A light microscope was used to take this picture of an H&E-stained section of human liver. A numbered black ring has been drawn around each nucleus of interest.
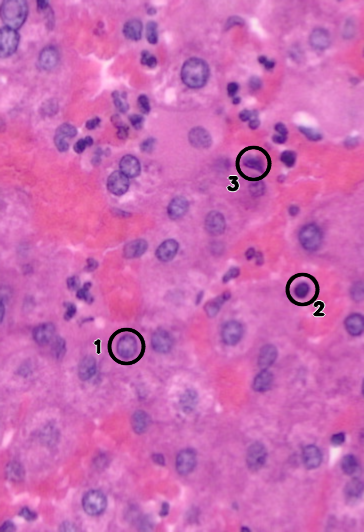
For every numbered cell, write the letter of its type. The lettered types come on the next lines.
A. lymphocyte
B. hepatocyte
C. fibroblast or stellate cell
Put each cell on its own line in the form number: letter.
1: B
2: A
3: C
